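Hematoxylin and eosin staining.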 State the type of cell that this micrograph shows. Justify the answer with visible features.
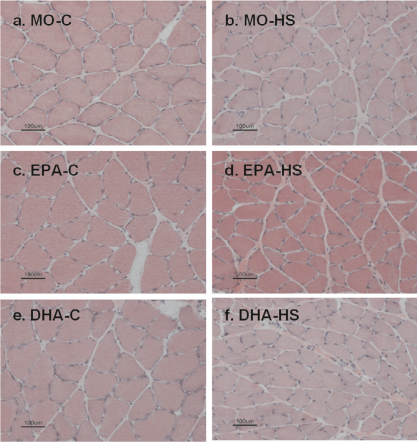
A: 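Polygonal profiles with pink cytoplasm packed side by side. Thin pale spaces separate the profiles. Small dark nuclei lie at the edges of the profiles. That points to this answer: muscle fibers.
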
